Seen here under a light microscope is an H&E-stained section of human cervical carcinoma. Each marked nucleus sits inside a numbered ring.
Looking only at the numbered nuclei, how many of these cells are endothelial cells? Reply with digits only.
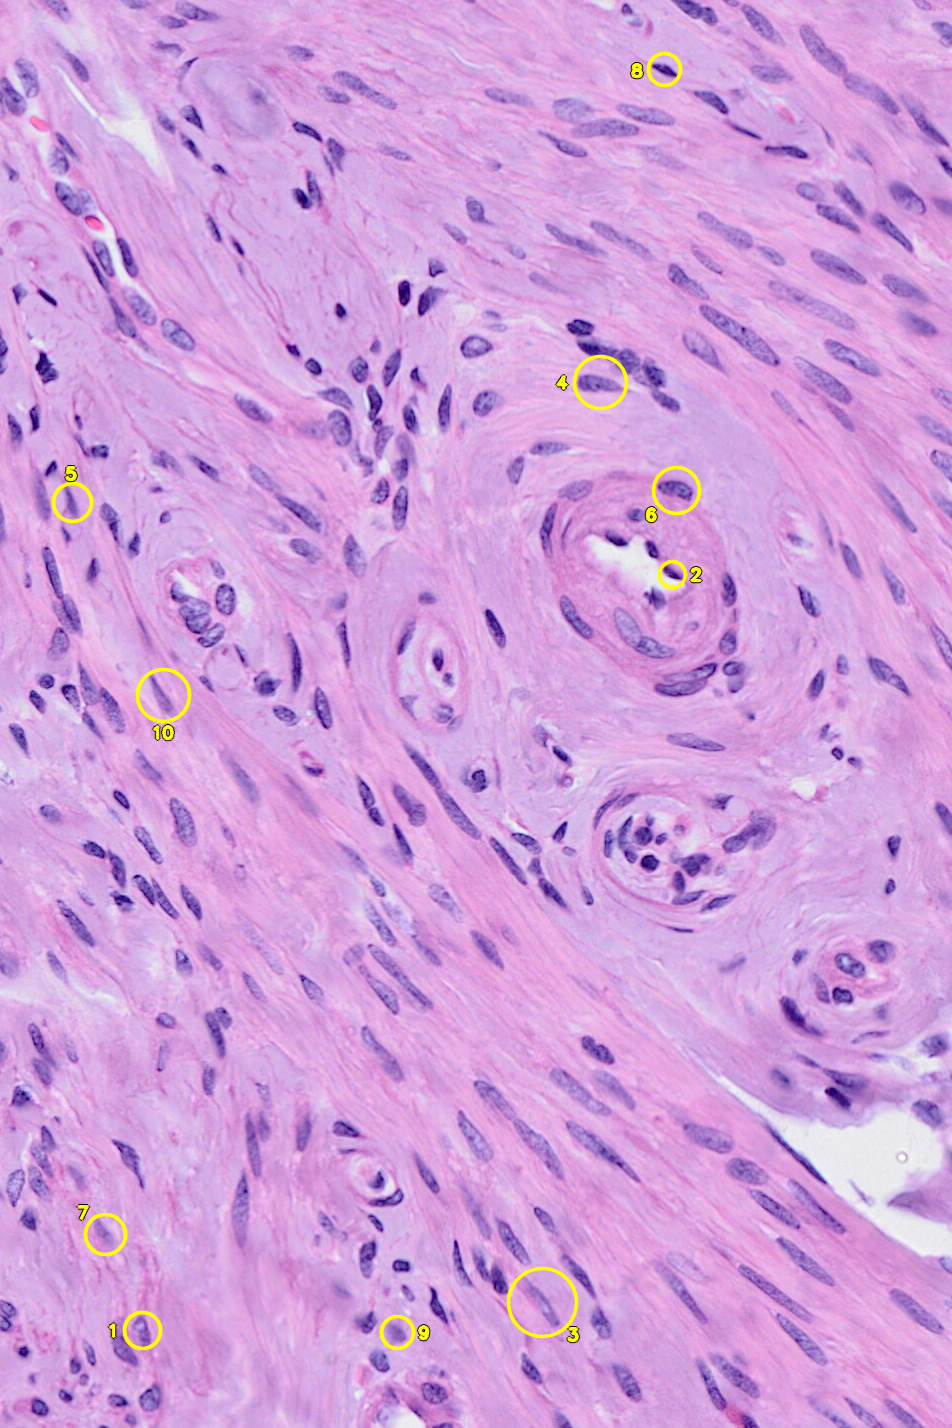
1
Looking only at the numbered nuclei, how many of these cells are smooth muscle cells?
3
